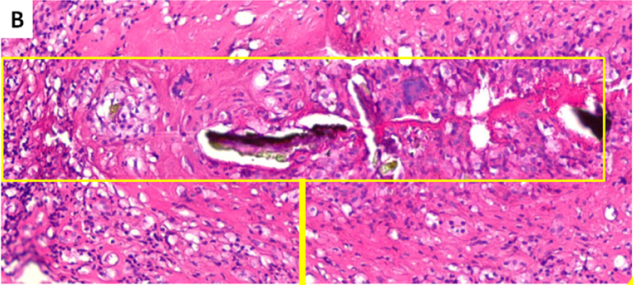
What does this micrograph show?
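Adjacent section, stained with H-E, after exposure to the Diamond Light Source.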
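A pink, collagen-rich stroma is crowded with cells that have purple nuclei and pale or vacuolated cytoplasm. Dark elongated fragments and small greenish particles lie across the middle, some within clear spaces where the tissue has pulled away. The cells packed around the particles fit an inflammatory reaction with macrophages in fibrous tissue.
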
